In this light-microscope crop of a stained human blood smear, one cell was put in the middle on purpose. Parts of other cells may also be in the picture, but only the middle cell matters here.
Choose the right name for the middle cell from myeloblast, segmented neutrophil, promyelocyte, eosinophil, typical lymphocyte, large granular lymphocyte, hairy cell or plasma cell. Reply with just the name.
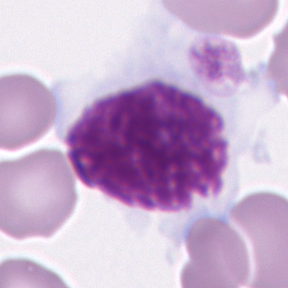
hairy cell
